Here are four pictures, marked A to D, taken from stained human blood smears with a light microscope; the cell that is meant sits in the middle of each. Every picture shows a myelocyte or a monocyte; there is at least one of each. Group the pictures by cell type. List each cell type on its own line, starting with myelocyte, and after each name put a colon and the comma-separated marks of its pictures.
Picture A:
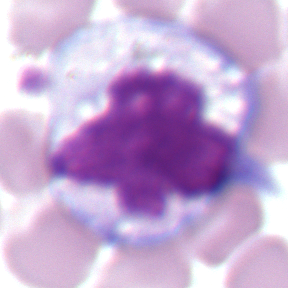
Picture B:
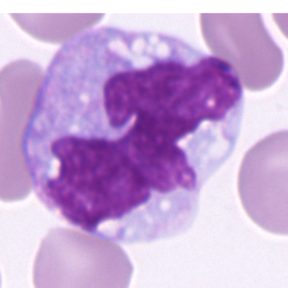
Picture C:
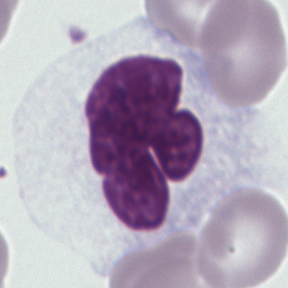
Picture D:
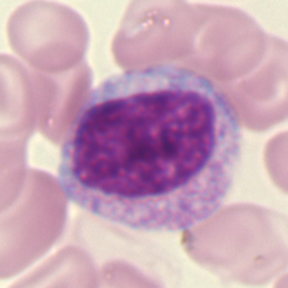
myelocyte: D
monocyte: A, B, C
